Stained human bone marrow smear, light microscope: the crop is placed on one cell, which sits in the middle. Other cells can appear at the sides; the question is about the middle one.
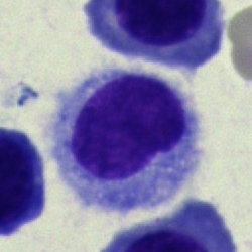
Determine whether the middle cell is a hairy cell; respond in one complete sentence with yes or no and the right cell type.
Yes, in the middle of the crop is a hairy cell.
